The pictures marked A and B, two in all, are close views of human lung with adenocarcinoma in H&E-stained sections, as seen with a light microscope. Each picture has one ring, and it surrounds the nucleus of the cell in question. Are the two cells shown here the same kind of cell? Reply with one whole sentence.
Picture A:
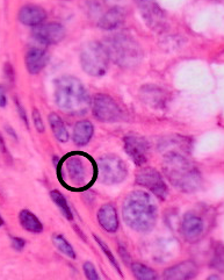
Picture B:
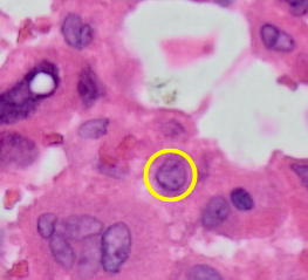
No, picture A shows a ciliated epithelial cell and picture B shows a “macrophage or monocyte”.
